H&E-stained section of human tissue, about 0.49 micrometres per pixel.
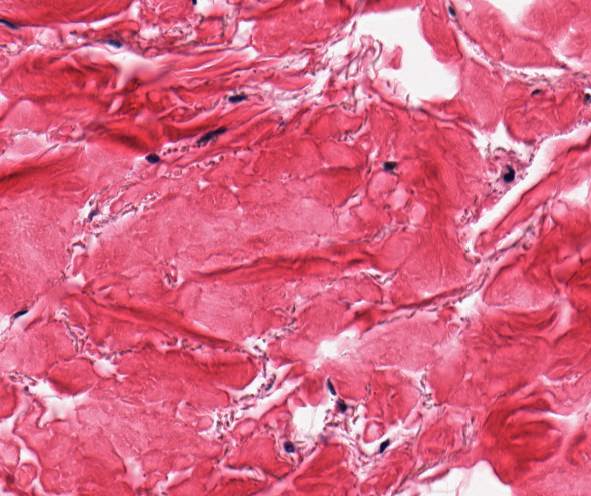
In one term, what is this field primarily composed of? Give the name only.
dermis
